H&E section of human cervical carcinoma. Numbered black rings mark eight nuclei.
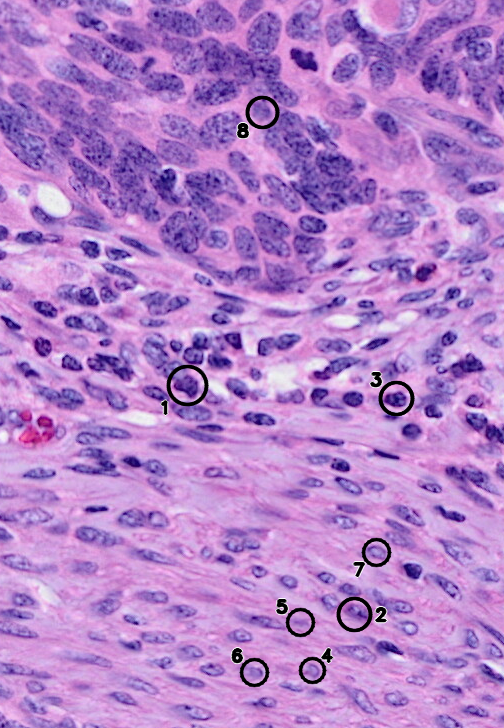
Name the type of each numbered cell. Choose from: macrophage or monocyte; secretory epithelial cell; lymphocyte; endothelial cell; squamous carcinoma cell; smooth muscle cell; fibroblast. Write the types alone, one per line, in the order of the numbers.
lymphocyte
smooth muscle cell
lymphocyte
smooth muscle cell
smooth muscle cell
smooth muscle cell
smooth muscle cell
squamous carcinoma cell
